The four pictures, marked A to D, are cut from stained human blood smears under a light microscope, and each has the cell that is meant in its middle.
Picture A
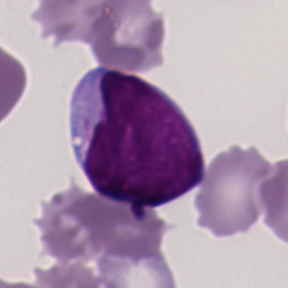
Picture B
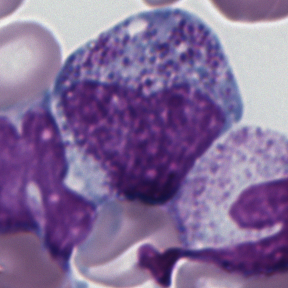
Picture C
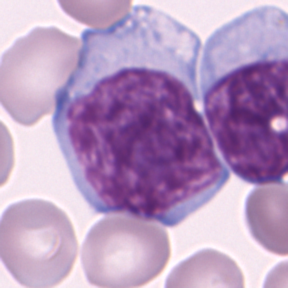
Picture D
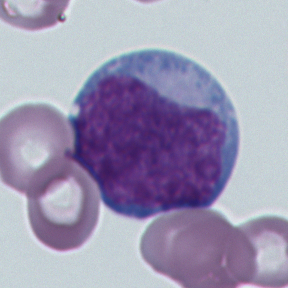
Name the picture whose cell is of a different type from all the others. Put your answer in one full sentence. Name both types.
The others show myeloblasts, but picture B shows a promyelocyte.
